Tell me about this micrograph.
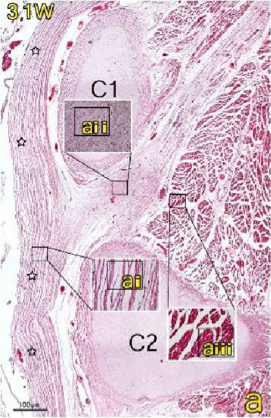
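At low power the atlas and axis appear as pale oval cartilaginous bodies, with a vertical band of pink fibrous tissue along their left side. To the right, pink-red skeletal muscle is cut into many small bundles separated by pale connective tissue.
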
